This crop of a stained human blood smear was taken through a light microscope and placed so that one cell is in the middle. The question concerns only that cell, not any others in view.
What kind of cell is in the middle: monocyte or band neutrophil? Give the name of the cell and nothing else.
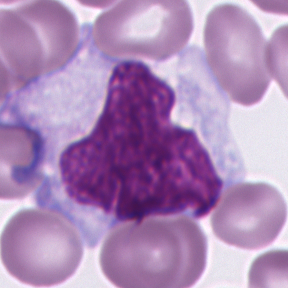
monocyte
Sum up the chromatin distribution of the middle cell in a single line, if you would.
Check the chromatin: it is fine and not coarsely clumped.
